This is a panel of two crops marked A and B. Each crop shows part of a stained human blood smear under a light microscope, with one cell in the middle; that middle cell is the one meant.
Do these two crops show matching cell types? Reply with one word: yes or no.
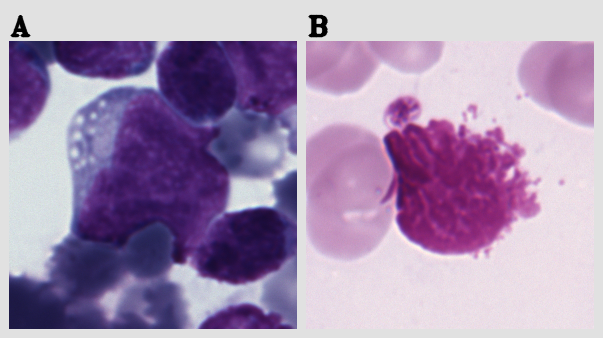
no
